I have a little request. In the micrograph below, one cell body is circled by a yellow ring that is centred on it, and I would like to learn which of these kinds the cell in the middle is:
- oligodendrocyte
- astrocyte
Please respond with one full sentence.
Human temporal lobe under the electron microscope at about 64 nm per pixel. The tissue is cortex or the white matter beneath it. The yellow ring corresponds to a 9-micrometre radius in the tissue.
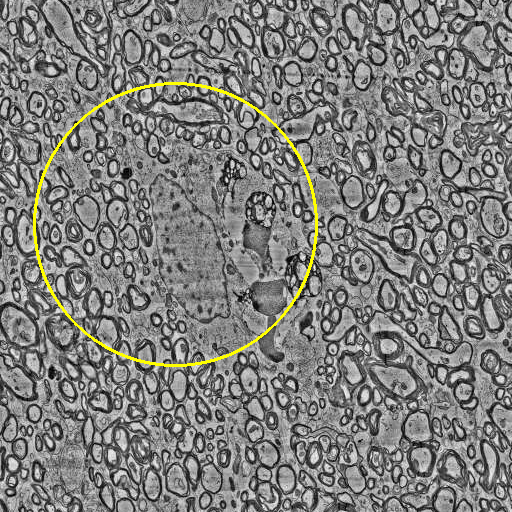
The cell sitting in the middle of the yellow ring in the micrograph is an astrocyte.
